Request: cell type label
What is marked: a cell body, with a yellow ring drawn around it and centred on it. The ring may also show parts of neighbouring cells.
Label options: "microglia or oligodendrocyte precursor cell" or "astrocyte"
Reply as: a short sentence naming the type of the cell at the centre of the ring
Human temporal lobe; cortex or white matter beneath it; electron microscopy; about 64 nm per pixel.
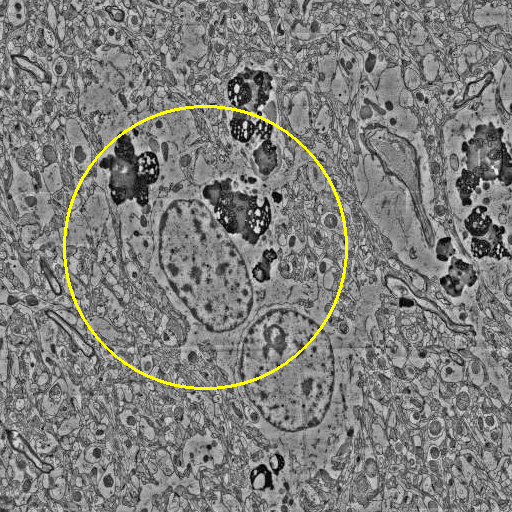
The marked cell body is that of an astrocyte.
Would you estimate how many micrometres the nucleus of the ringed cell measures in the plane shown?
In this plane, about 9 by 5 micrometres: the nucleus is clearly longer than it is wide.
